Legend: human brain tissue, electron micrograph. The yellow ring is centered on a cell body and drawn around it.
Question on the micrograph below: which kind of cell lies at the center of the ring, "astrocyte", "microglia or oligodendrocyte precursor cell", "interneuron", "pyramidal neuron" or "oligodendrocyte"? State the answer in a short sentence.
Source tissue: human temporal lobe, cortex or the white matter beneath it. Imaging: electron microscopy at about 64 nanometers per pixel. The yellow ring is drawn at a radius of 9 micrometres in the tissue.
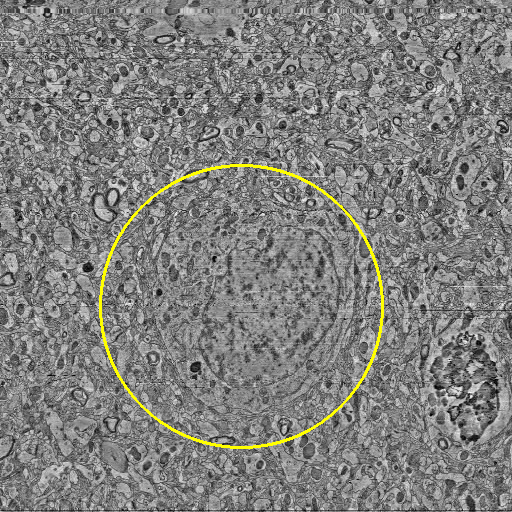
At the center of the ring lies an interneuron.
